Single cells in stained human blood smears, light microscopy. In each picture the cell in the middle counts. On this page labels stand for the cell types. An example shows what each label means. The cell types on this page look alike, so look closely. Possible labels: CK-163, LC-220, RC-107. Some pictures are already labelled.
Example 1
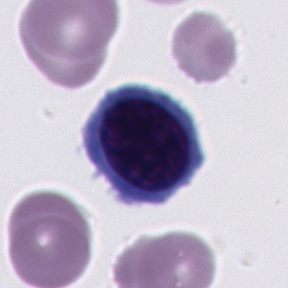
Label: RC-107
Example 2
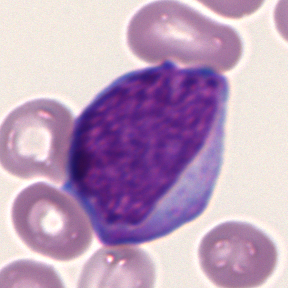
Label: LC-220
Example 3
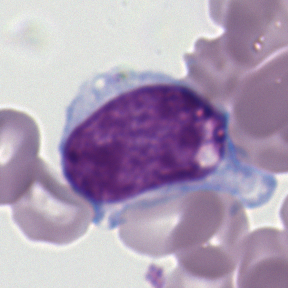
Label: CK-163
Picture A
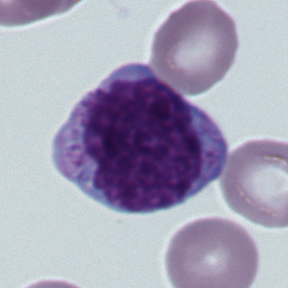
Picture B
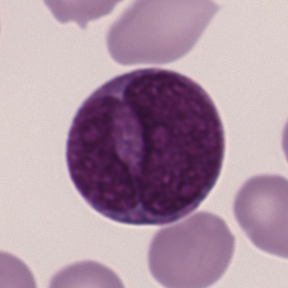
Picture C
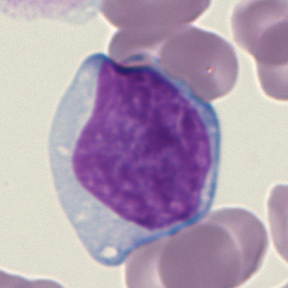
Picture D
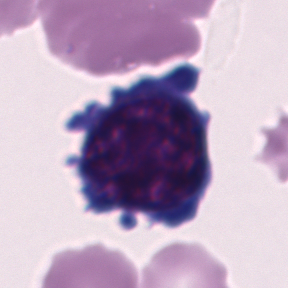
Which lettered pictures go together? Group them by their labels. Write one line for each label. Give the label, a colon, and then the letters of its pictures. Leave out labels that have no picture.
CK-163: B, C
LC-220: A
RC-107: D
